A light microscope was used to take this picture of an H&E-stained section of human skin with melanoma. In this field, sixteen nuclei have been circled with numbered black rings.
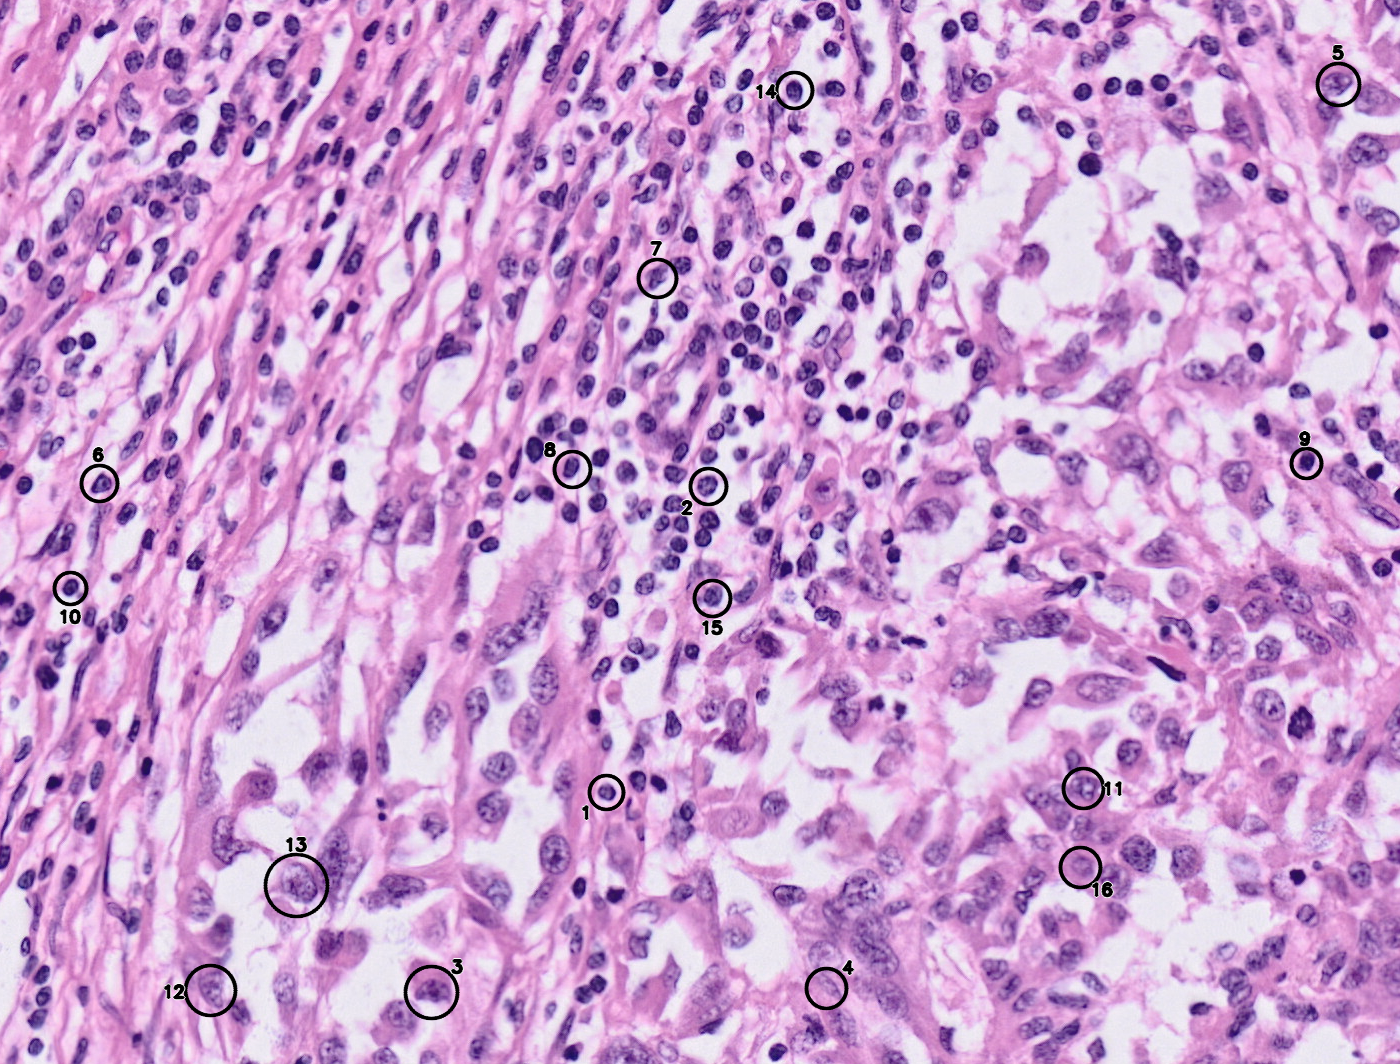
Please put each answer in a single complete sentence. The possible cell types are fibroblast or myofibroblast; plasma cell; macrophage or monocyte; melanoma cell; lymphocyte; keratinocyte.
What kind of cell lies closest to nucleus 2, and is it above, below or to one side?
The nearest one is a lymphocyte, found above nucleus 2.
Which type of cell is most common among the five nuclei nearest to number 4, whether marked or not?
Most of the five nuclei nearest to number 4 are those of melanoma cells.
